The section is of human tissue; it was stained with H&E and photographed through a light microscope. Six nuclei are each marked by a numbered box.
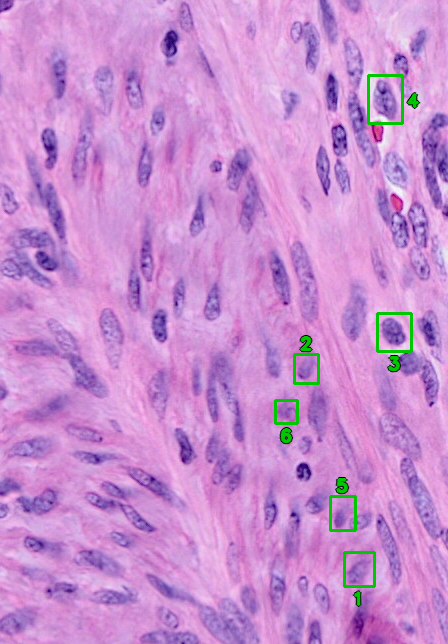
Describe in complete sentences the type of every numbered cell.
Cell 1 is a smooth muscle cell, cell 2 is a smooth muscle cell, cell 3 is a lymphocyte, cell 4 is an endothelial cell, cell 5 is a smooth muscle cell and cell 6 is a smooth muscle cell.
